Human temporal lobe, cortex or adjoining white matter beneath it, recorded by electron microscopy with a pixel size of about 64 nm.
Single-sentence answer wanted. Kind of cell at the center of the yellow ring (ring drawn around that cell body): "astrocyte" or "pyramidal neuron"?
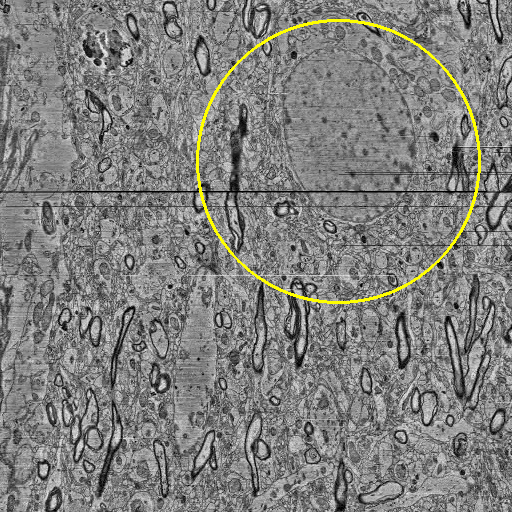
The cell centered in the ring is an astrocyte.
